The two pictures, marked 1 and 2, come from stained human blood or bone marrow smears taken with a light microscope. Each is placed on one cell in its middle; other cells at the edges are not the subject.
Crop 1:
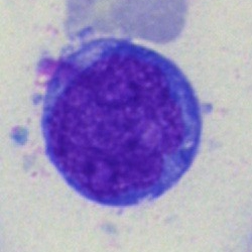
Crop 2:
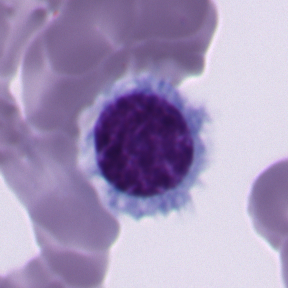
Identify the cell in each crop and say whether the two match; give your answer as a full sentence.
No, a blast is in crop 1, while a hairy cell is in crop 2.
